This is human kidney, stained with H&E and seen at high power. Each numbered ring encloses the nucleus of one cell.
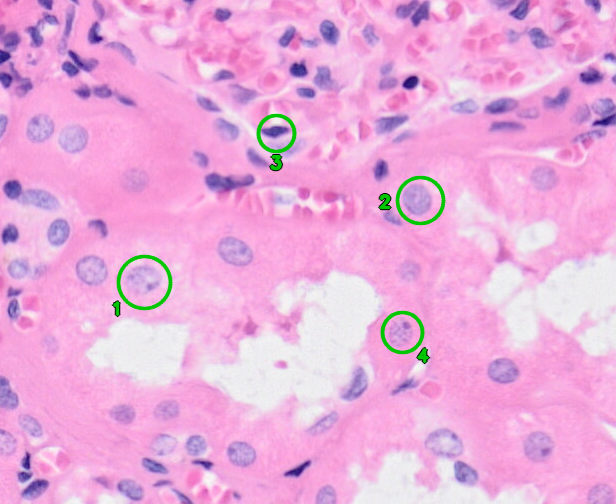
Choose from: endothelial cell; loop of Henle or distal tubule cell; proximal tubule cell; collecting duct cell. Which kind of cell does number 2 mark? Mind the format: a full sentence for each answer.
Here, the cell given the number 2 is a proximal tubule cell.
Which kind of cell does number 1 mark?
Cell 1 is classified as a proximal tubule cell.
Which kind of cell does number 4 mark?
The marked nucleus 4 is that of a proximal tubule cell.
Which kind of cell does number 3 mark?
Cell 3 is classified as an endothelial cell.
